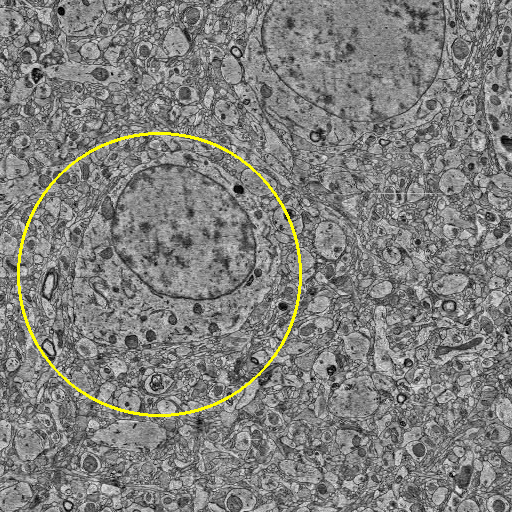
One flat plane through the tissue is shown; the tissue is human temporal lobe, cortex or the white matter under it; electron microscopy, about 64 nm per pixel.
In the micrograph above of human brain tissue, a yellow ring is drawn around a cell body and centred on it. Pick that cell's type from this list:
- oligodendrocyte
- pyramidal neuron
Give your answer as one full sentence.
Going by the list, a pyramidal neuron is the cell on which the yellow ring is centred.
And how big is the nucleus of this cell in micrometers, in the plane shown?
In this plane the nucleus measures roughly 10 by 8 micrometres.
